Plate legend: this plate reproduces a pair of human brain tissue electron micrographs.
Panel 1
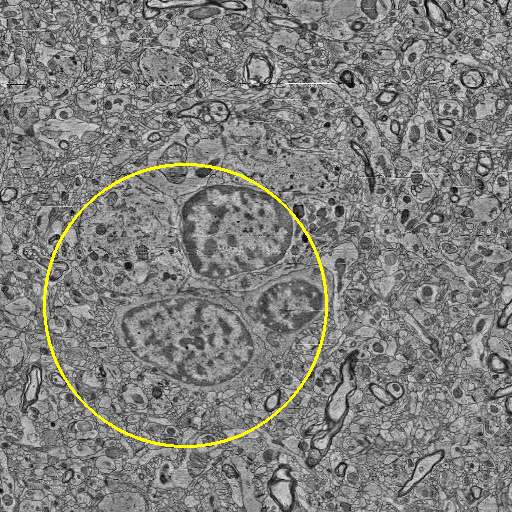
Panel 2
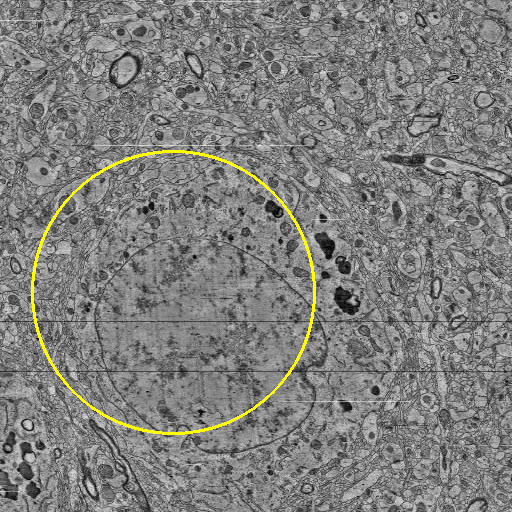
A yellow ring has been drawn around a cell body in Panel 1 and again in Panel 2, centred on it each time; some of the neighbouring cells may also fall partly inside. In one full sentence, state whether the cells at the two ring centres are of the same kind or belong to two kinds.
The ring-centred cells of Panel 1 and Panel 2 belong to two kinds.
